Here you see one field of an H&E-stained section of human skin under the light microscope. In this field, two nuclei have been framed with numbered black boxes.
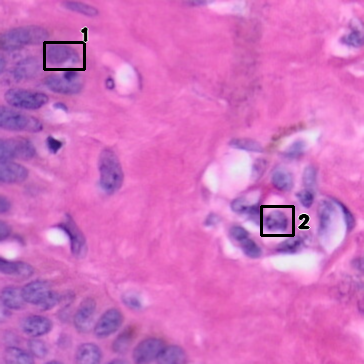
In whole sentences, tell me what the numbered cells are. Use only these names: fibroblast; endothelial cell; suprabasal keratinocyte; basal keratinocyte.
Cell 1 is a basal keratinocyte. Cell 2 is an endothelial cell.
